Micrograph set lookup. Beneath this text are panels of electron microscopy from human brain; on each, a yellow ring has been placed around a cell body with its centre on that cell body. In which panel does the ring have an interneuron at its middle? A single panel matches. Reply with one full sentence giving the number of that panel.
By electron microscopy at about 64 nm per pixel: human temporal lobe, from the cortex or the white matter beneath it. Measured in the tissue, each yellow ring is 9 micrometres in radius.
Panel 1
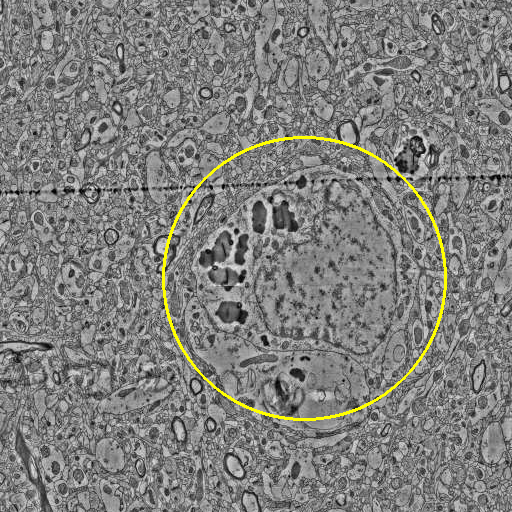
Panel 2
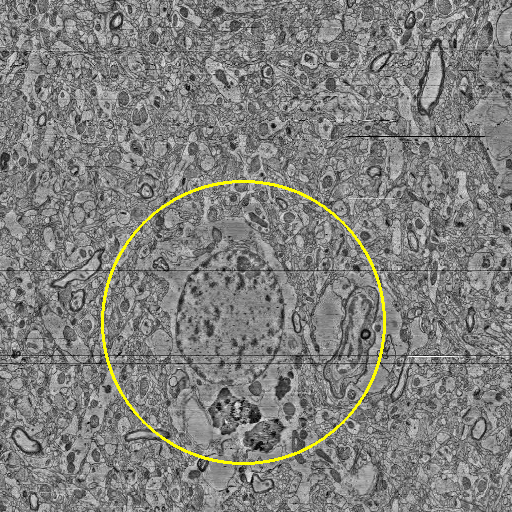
Panel 1 is the one whose ring has the sought cell at its centre.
